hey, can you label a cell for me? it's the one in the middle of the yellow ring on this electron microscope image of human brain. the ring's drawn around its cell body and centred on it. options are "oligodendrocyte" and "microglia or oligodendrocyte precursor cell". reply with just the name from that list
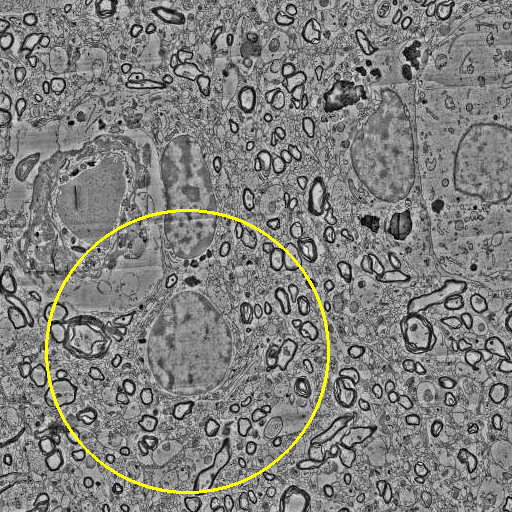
microglia or oligodendrocyte precursor cell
